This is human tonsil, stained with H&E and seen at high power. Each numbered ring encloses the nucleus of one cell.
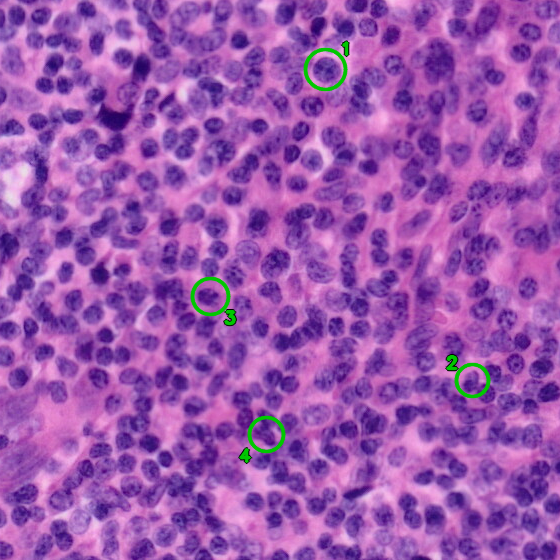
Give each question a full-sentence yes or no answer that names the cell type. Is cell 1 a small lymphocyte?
No, cell 1 is identified not as a small lymphocyte but as a proliferating B cell.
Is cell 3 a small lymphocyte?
No, cell 3 is a plasma cell and should not be called a small lymphocyte.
